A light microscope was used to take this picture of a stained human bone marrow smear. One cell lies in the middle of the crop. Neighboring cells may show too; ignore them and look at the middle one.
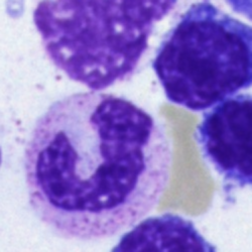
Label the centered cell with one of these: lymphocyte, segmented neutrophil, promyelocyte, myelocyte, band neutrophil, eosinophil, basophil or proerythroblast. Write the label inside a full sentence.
As for the cell in the middle, it is a segmented neutrophil.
